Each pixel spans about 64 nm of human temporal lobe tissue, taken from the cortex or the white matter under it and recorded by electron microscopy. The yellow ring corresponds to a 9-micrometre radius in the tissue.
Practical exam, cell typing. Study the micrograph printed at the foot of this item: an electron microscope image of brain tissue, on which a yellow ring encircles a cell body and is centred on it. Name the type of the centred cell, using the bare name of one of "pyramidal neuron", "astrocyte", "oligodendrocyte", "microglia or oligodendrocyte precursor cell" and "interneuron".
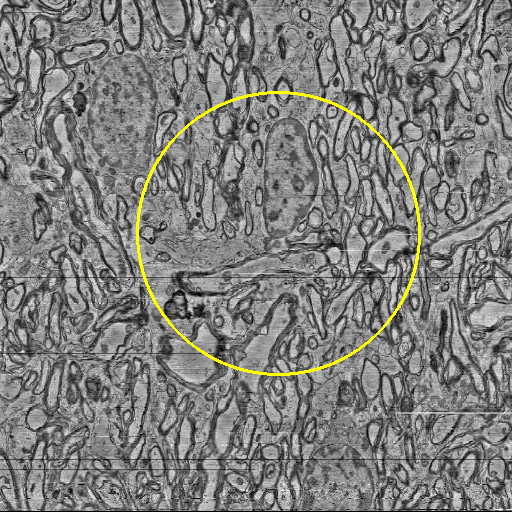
microglia or oligodendrocyte precursor cell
